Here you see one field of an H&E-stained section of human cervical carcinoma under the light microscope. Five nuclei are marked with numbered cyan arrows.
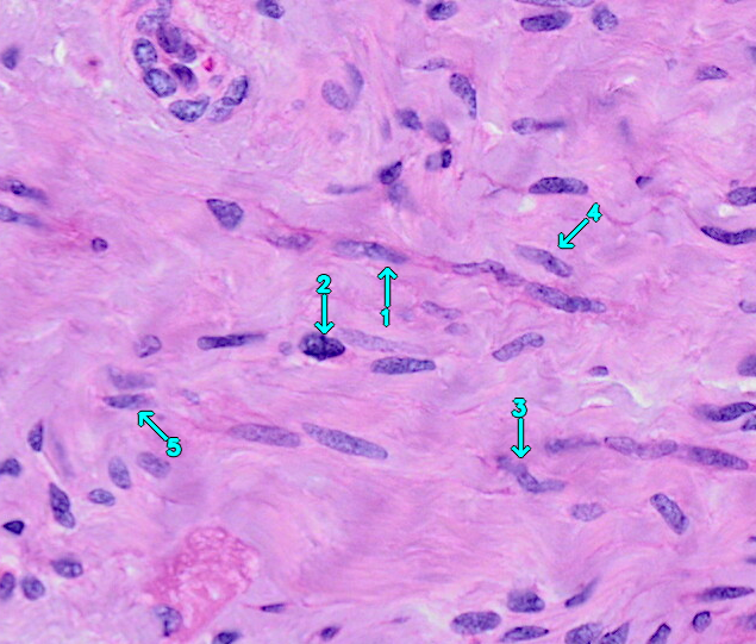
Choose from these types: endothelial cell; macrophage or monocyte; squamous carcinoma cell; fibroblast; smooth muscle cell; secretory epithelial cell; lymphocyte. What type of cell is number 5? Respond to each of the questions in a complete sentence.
The cell numbered 5 has been identified as a fibroblast.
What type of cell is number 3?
The cell referred to as 3 is a fibroblast.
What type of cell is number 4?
The identity of cell 4 is that of a fibroblast.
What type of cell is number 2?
Identified by the number 2, the cell is a lymphocyte.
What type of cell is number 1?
The cell identified by the number 1 is a smooth muscle cell.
